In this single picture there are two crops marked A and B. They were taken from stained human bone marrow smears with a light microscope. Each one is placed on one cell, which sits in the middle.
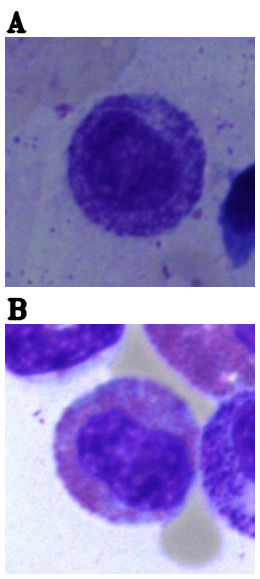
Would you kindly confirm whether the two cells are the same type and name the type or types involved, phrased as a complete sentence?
No, for crop A the cell is a myelocyte, and for crop B it is an eosinophil.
